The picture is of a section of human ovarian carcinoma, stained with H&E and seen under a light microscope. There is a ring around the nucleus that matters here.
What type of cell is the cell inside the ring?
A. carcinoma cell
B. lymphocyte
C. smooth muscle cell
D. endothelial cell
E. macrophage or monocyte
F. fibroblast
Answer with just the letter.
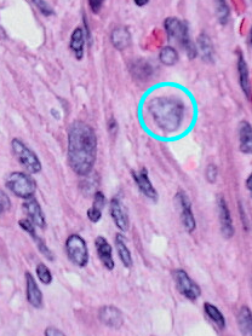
F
